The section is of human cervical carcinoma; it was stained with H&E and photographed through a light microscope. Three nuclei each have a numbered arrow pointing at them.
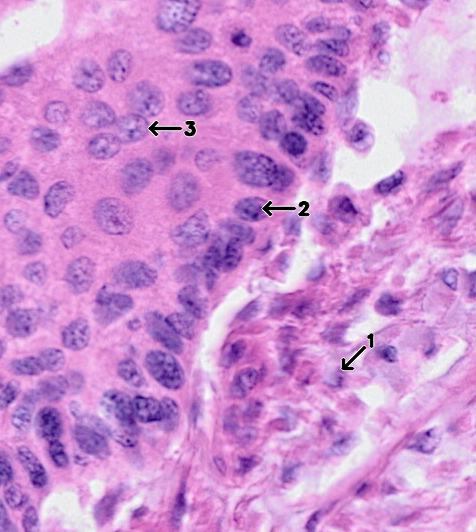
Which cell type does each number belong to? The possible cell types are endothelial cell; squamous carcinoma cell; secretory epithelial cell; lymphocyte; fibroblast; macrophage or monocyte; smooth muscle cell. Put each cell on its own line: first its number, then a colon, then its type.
1: fibroblast
2: squamous carcinoma cell
3: squamous carcinoma cell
